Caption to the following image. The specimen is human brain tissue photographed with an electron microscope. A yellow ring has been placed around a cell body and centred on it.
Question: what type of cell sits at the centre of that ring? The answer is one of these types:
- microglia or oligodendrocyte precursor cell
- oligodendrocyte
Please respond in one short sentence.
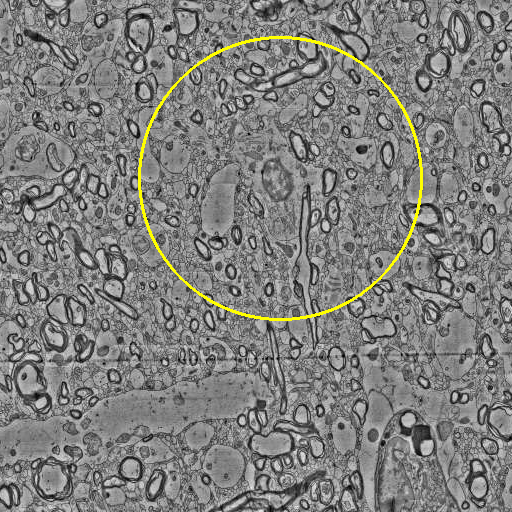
The ring surrounds the cell body of a microglial cell or oligodendrocyte precursor cell.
